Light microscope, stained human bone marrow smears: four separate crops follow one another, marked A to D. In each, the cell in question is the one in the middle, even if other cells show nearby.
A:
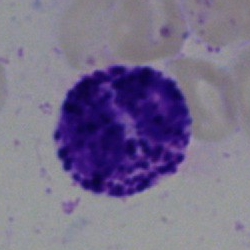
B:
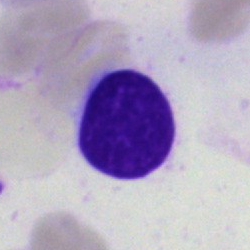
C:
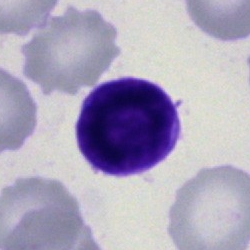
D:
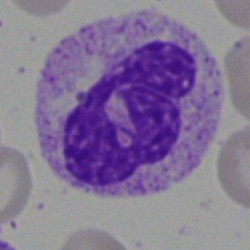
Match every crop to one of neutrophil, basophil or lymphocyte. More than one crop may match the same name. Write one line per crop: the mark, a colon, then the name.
A: basophil
B: lymphocyte
C: lymphocyte
D: neutrophil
